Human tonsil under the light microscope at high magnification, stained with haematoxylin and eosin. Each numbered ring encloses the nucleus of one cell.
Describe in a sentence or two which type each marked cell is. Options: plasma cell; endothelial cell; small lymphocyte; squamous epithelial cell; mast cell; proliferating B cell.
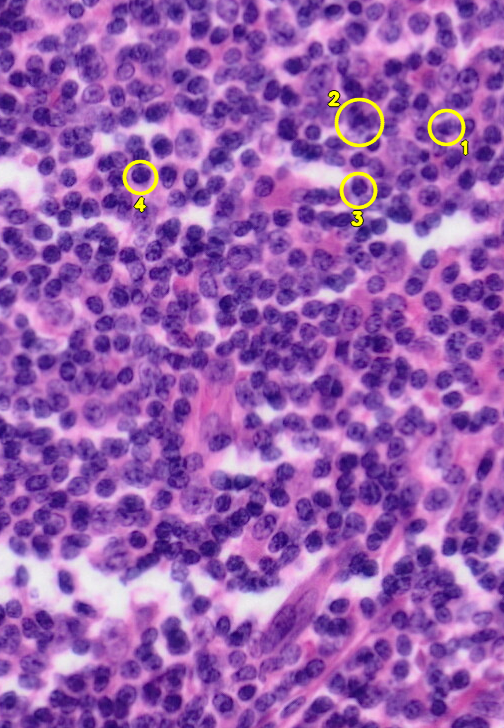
Cell 1 is a small lymphocyte, cell 2 is a proliferating B cell, cell 3 is a small lymphocyte and cell 4 is a small lymphocyte.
